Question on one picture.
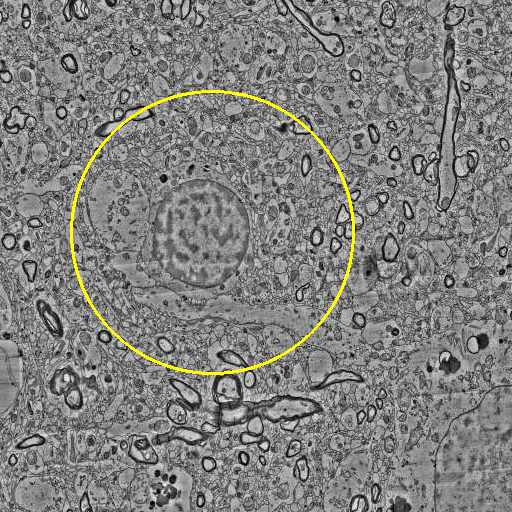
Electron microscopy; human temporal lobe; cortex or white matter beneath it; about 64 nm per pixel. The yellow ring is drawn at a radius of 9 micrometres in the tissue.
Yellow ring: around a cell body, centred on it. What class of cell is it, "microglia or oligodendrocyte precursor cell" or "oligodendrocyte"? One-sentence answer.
This is an oligodendrocyte, the cell the ring is centred on.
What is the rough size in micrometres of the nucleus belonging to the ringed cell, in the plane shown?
The nucleus is about 6 micrometres across in this plane.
